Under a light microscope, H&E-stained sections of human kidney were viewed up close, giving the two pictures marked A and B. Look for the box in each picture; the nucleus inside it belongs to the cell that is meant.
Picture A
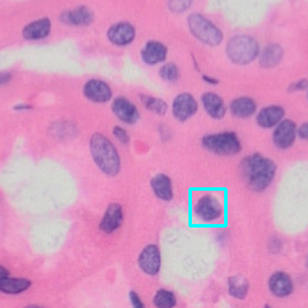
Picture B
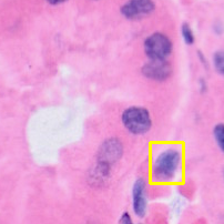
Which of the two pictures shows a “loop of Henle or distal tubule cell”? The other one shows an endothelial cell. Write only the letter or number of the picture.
A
